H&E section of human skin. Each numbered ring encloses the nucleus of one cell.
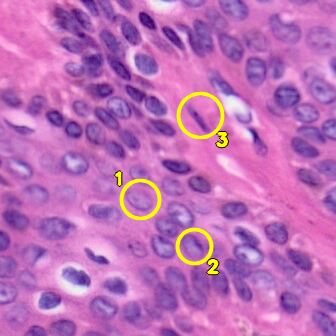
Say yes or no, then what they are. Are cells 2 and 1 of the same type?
Yes, in terms of cell type, cells 2 and 1 are both suprabasal keratinocytes.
